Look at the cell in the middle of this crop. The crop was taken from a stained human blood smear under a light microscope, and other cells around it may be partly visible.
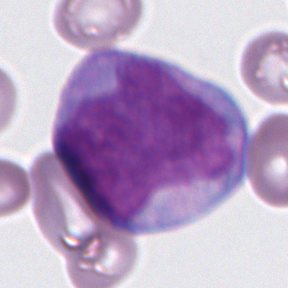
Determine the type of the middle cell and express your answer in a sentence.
The middle cell in this particular crop is an atypical promyelocyte.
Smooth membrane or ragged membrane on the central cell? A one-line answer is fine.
Smooth outline, no projections: that is the whole story of its edge.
